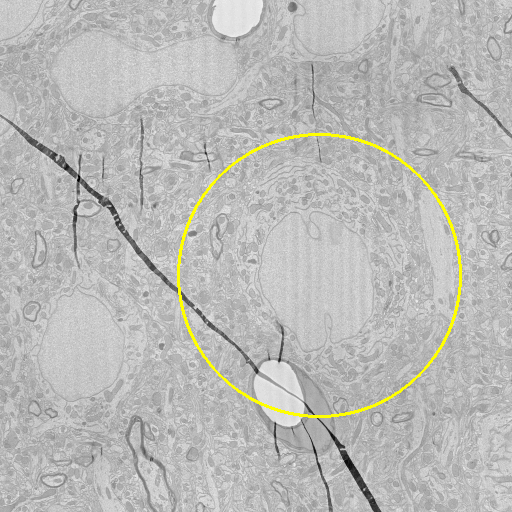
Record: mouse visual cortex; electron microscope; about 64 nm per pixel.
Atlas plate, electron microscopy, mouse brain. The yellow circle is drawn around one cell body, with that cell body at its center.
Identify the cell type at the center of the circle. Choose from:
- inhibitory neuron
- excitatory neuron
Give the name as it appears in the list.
inhibitory neuron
